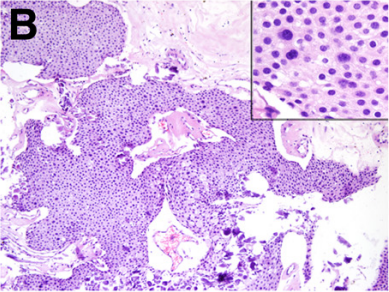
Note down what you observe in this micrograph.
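Islands and broad sheets of closely packed polyhedral epithelial cells stained purple, separated by pale pink acellular material. Dark purple irregular deposits lie scattered in the lower part of the field. In the inset the cells have distinct borders, pale pink cytoplasm and round nuclei that vary in size and darkness.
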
